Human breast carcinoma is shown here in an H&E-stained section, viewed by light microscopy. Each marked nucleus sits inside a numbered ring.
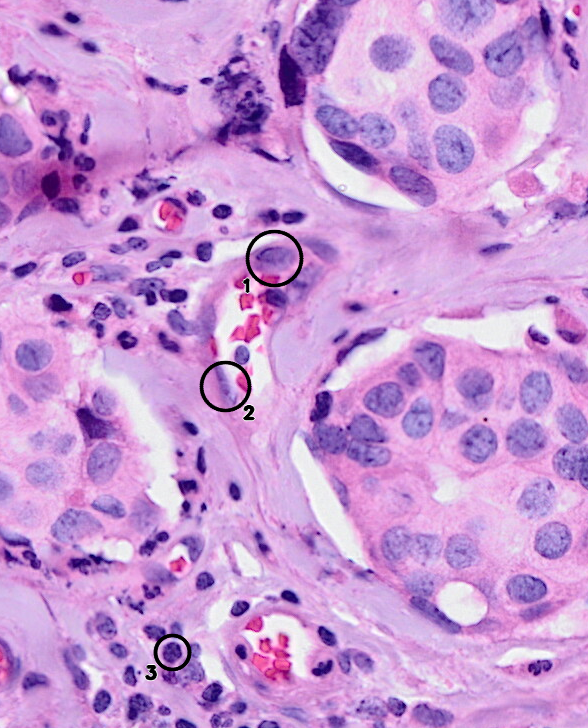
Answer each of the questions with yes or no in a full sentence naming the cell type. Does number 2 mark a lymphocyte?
No, the cell labelled 2 is an endothelial cell and not a lymphocyte.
